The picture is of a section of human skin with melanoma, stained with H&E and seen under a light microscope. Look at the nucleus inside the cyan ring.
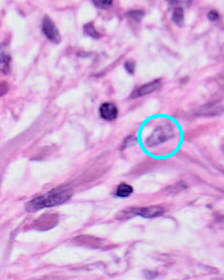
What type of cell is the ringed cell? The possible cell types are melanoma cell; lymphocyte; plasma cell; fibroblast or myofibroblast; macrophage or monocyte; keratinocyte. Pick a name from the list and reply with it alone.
fibroblast or myofibroblast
